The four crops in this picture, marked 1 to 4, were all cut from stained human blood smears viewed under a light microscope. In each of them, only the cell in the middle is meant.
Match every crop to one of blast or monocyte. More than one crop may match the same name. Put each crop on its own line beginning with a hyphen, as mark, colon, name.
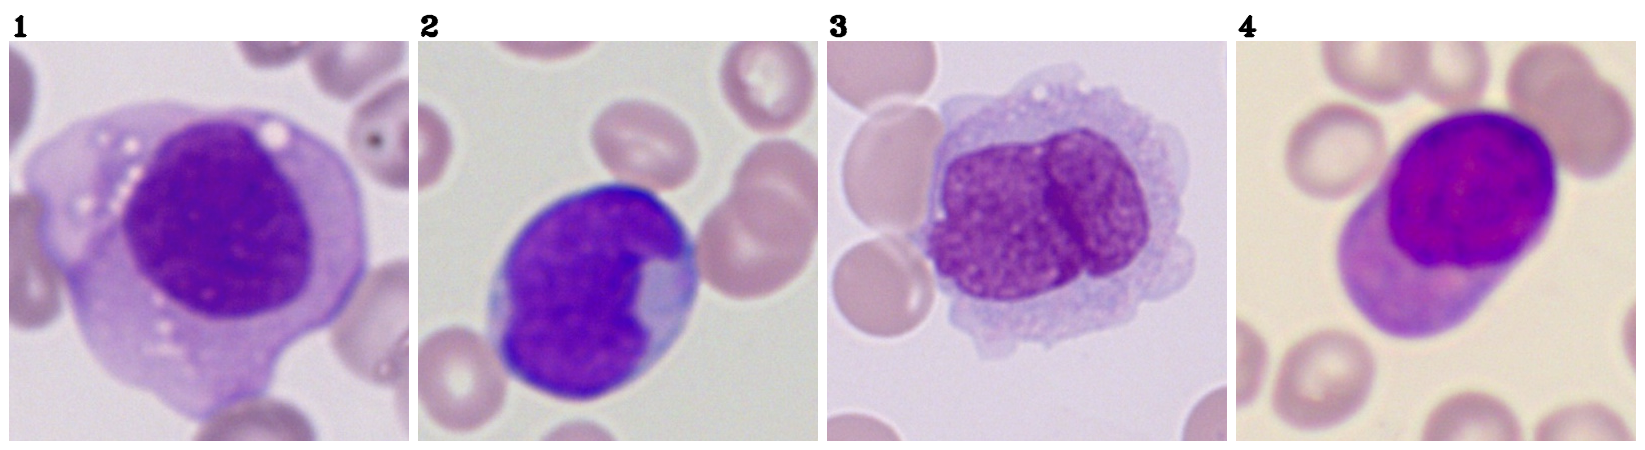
- 1: monocyte
- 2: blast
- 3: monocyte
- 4: blast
